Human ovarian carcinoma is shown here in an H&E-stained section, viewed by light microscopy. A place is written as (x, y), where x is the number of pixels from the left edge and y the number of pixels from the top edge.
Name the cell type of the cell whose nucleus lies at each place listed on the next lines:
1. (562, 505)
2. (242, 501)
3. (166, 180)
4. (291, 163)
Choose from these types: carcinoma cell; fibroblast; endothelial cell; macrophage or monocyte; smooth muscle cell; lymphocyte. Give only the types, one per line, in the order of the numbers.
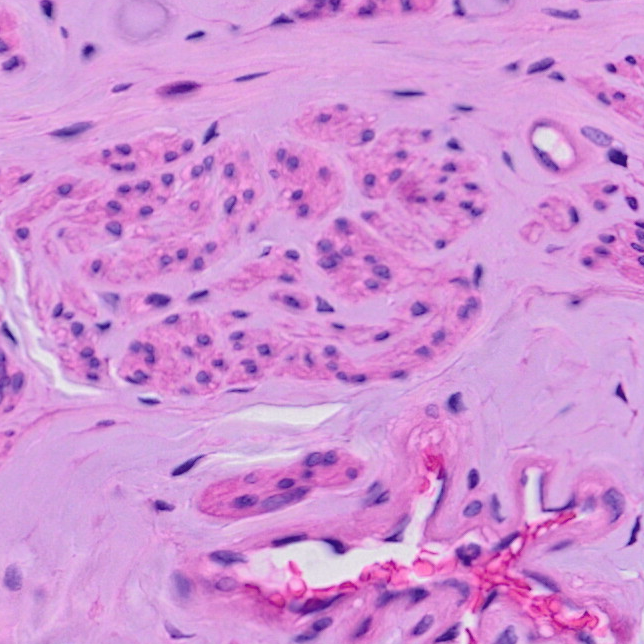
endothelial cell
smooth muscle cell
smooth muscle cell
smooth muscle cell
